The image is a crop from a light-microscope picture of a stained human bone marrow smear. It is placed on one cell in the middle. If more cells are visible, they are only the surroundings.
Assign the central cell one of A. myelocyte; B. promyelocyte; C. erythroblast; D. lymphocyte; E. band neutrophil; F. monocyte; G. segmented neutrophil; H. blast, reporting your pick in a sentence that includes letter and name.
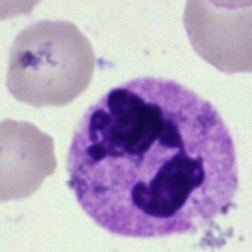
The cell in the center of this crop is a segmented neutrophil, so option G is the one to pick.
